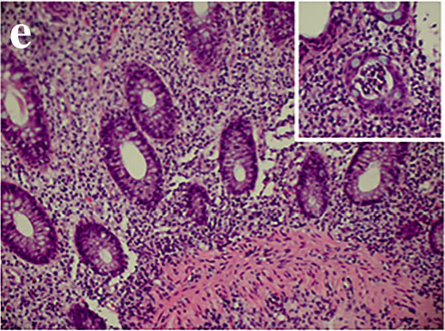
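This is colonic mucosa with round-to-oval crypts lined by columnar epithelium with purple nuclei, set in a lamina propria crowded with small dark round inflammatory cells. The inflammatory cells spread the crypts apart and fill the mucosa down to a pink band of smooth muscle at the bottom. In the inset at the top right, a crypt lumen is filled with clustered inflammatory cells. Together this is the picture of chronic active colitis with expanded lamina propria and a crypt abscess.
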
